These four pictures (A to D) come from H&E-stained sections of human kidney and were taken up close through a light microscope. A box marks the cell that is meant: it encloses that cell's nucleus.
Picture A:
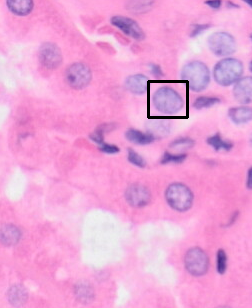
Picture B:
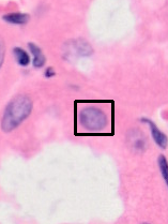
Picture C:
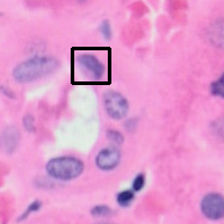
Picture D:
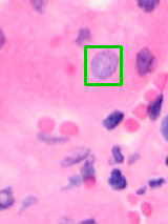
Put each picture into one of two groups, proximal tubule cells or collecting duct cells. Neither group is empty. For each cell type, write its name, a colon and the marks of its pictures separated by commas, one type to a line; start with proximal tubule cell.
proximal tubule cell: B, D
collecting duct cell: A, C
